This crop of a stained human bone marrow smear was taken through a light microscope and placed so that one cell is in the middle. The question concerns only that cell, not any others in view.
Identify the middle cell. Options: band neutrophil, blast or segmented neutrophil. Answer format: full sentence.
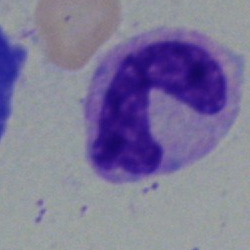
The centrally positioned cell in the crop represents a band neutrophil.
